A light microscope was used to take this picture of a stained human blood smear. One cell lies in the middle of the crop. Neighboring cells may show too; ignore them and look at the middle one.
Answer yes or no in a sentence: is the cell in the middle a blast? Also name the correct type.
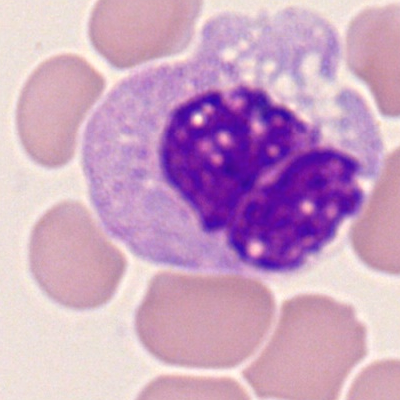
No, the central cell should be identified as a monocyte, not as a blast.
